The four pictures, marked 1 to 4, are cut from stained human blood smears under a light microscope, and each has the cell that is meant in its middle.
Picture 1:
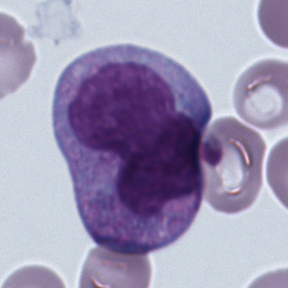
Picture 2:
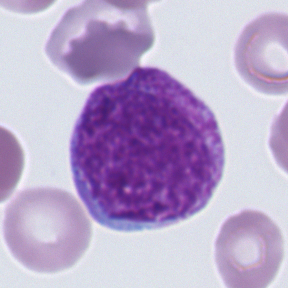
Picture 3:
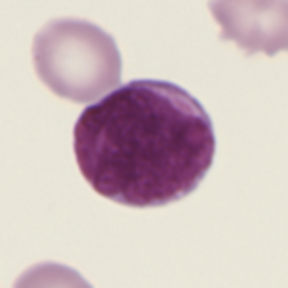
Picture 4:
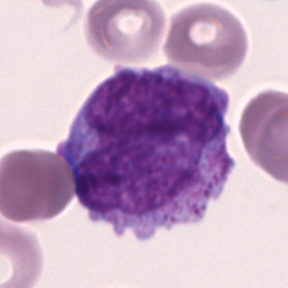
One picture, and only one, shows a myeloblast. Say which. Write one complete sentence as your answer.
It is picture 3 that shows the myeloblast.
